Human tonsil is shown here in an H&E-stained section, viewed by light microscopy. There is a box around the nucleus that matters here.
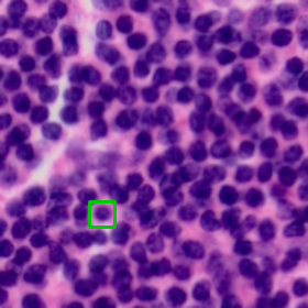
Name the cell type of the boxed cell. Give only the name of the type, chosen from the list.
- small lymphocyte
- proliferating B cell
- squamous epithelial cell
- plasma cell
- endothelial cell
small lymphocyte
